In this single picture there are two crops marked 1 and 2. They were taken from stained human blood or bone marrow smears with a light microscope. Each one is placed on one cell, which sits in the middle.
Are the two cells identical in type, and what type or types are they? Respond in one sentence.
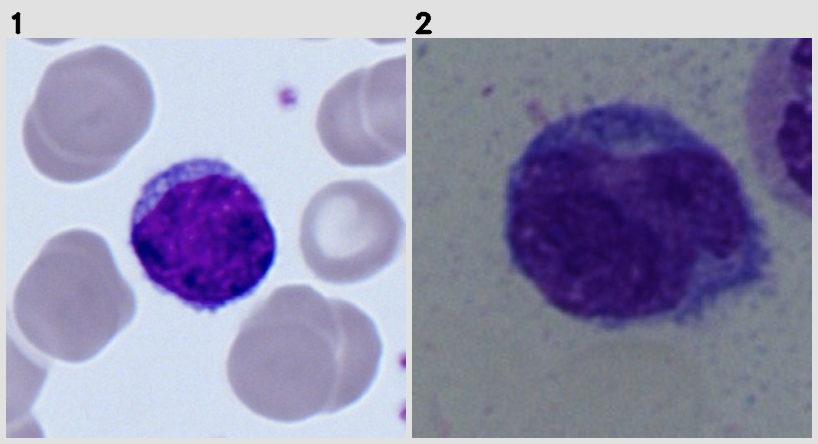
No, crop 1 captures a lymphocyte; meanwhile crop 2 captures a monocyte.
